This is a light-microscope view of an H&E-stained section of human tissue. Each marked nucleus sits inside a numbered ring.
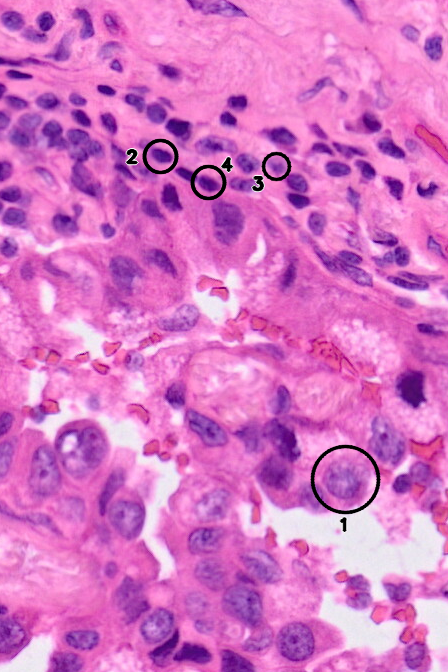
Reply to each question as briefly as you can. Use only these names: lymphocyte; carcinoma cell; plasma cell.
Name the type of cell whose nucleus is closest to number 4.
lymphocyte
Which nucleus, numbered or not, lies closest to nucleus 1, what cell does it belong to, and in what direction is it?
a carcinoma cell below and to the left of nucleus 1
